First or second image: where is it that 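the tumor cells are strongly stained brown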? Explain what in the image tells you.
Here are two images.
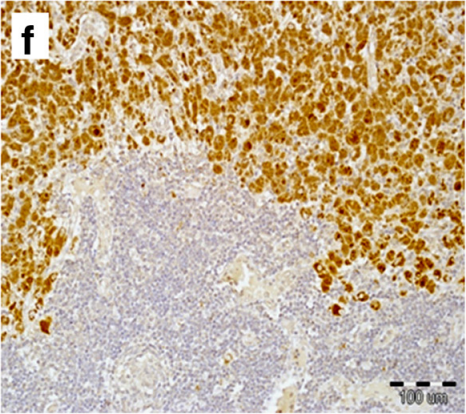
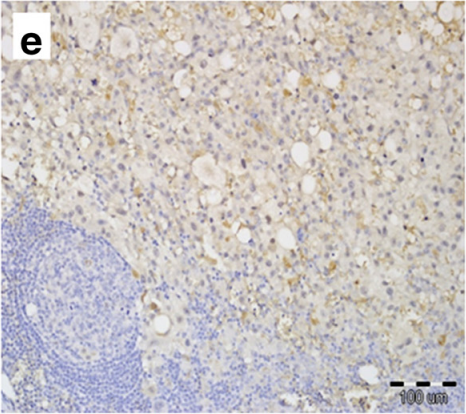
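The first image. First image: the tumor cell sheet is deep brown throughout. Second image: the large tumor cells are pale with only faint brown tint.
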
